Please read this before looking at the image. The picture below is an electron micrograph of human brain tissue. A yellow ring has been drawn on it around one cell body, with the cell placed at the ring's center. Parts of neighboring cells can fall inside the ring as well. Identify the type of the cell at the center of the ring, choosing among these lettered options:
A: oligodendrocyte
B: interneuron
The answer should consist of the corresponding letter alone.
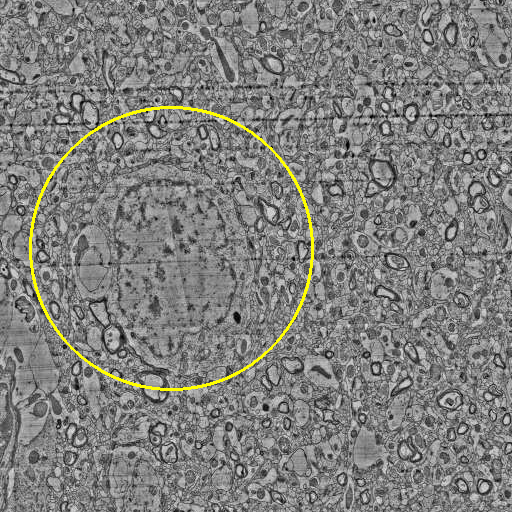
B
